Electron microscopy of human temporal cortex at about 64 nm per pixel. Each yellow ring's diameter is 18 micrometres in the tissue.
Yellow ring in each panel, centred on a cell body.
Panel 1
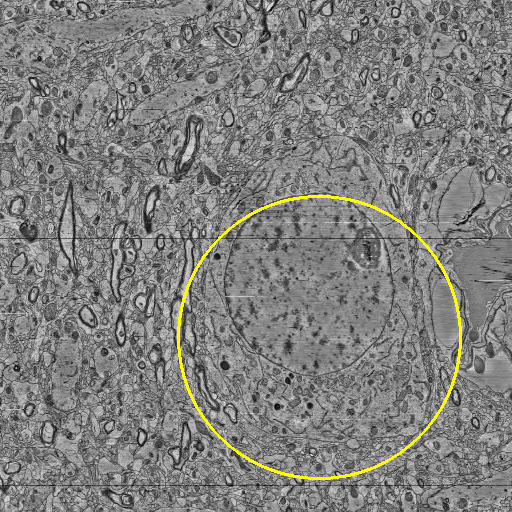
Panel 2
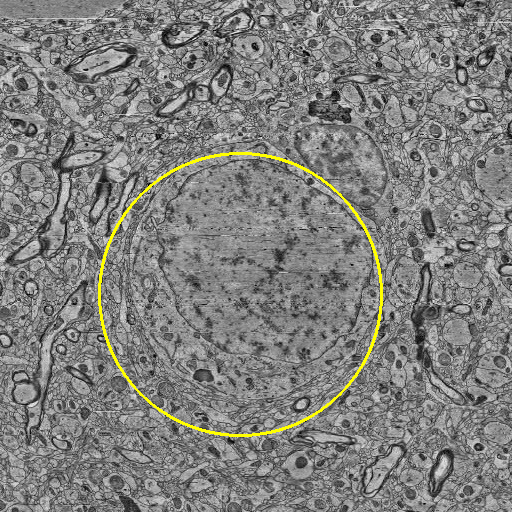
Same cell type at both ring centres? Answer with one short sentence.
Yes, both cells are of the same type.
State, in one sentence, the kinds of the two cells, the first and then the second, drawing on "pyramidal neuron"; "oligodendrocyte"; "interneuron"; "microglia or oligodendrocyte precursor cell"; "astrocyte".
In the first picture and in the second, the ring is centred on a pyramidal neuron.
